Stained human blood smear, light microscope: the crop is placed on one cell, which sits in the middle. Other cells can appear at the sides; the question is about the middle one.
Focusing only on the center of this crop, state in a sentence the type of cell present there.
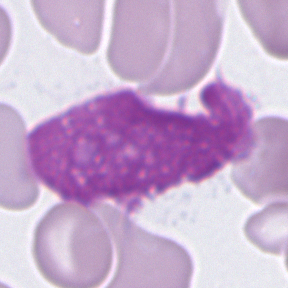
Where the crop is centred, there is a smudge cell.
